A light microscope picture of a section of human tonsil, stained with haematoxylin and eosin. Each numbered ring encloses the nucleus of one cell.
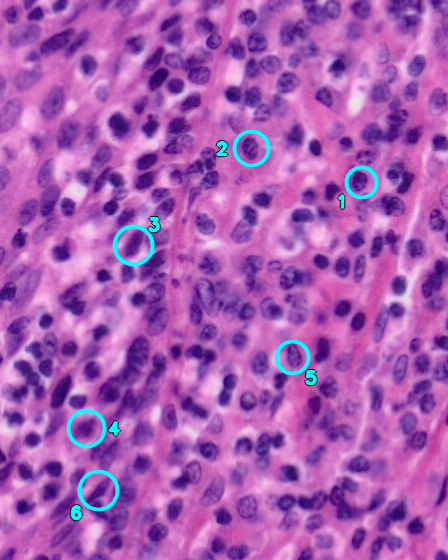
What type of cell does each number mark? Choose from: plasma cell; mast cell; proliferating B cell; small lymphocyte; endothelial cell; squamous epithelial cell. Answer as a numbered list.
1. plasma cell
2. plasma cell
3. squamous epithelial cell
4. squamous epithelial cell
5. plasma cell
6. squamous epithelial cell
